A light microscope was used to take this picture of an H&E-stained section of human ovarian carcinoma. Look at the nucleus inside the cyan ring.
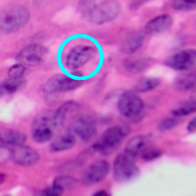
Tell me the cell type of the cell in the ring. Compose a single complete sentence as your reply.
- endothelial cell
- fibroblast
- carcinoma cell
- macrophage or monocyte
Among the cells in this section, the cell in the ring is a macrophage or monocyte.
